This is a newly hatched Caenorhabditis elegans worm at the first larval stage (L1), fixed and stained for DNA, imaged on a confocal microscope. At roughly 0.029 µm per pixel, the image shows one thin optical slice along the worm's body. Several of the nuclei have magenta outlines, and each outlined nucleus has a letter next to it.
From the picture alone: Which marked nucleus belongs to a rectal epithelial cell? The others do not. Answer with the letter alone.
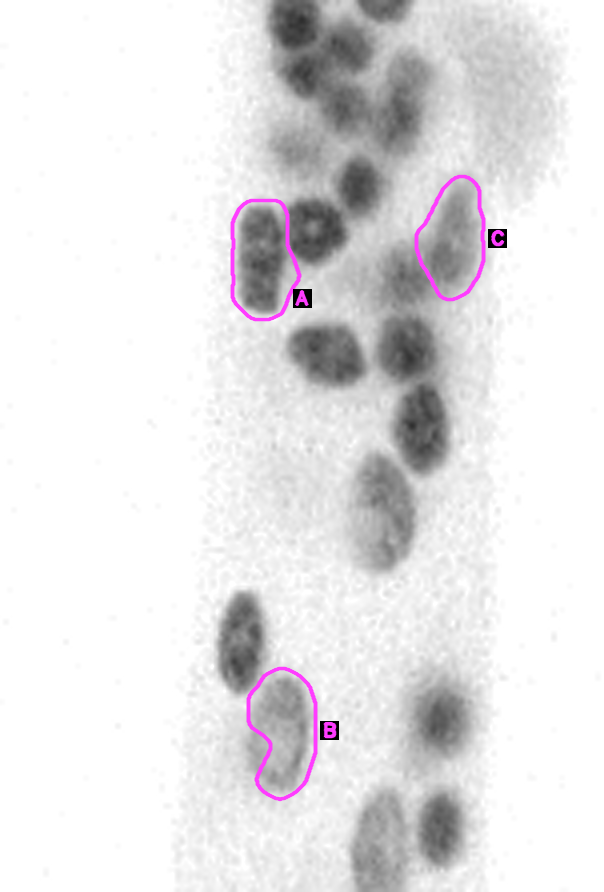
C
